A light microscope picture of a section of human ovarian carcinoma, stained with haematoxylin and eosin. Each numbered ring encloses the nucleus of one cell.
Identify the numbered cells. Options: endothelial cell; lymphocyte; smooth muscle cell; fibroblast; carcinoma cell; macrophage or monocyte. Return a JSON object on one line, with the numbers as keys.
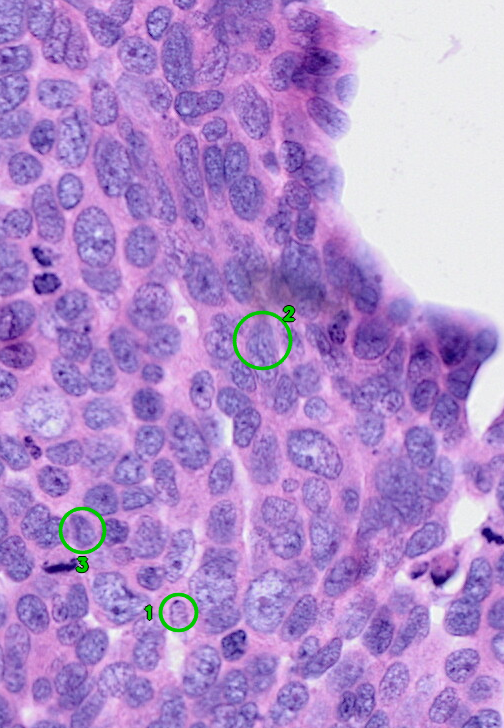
{"1": "macrophage or monocyte", "2": "carcinoma cell", "3": "carcinoma cell"}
